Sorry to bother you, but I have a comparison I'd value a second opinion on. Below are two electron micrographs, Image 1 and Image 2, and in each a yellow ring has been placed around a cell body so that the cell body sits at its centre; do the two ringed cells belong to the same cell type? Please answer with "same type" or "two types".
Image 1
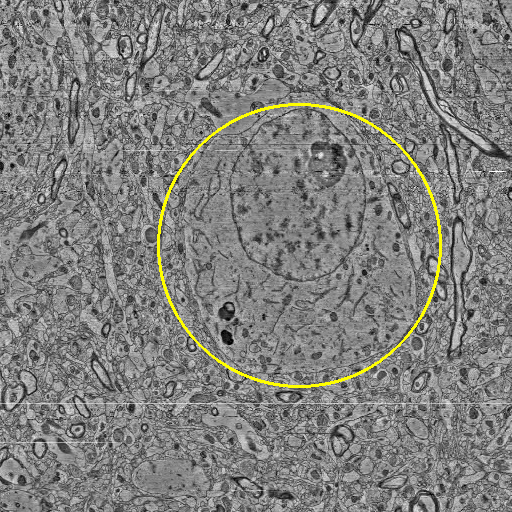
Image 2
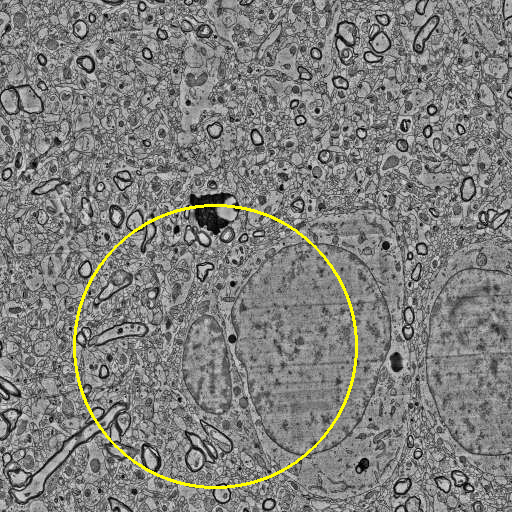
two types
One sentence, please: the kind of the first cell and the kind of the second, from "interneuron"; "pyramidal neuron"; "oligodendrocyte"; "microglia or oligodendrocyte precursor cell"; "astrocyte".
The ring in the first picture surrounds a pyramidal neuron, and the ring in the second surrounds an oligodendrocyte.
